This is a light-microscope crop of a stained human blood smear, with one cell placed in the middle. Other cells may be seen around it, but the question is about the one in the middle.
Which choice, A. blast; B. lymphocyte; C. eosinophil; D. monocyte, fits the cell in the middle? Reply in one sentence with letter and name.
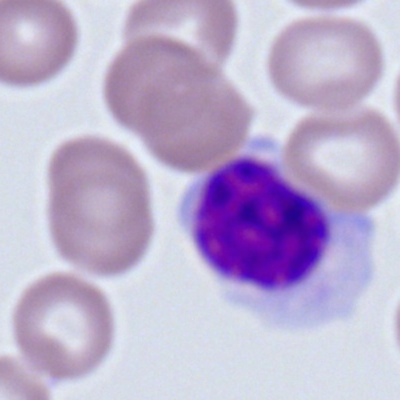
The correct response is option B, naming the cell in the middle as a lymphocyte.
